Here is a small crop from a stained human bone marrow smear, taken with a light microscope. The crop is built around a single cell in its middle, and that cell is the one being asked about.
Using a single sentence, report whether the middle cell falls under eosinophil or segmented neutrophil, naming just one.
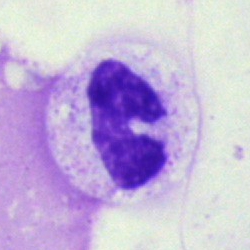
The cell sitting right in the middle is a segmented neutrophil.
